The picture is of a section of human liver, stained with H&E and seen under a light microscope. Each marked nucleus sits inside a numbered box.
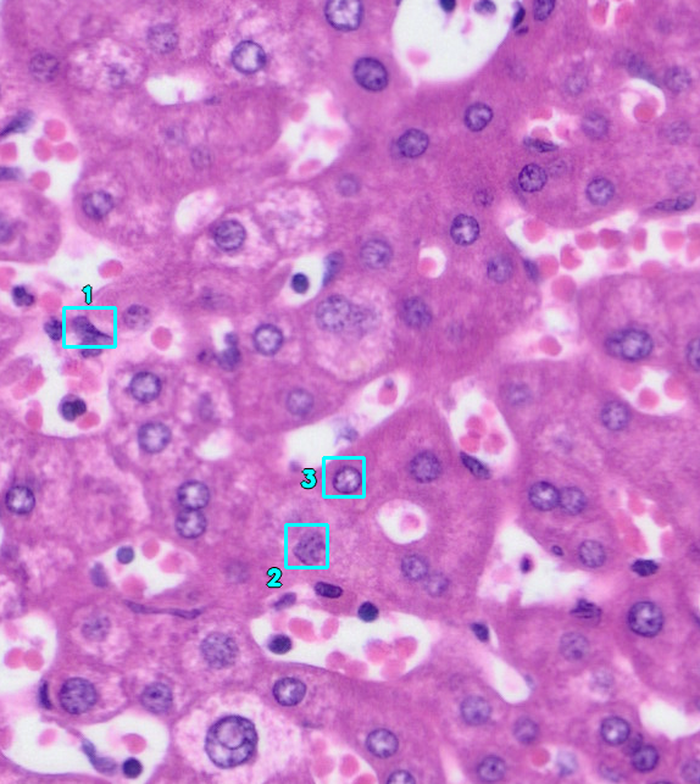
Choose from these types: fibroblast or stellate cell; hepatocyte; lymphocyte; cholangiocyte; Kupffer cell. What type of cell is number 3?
hepatocyte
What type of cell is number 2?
hepatocyte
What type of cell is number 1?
fibroblast or stellate cell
